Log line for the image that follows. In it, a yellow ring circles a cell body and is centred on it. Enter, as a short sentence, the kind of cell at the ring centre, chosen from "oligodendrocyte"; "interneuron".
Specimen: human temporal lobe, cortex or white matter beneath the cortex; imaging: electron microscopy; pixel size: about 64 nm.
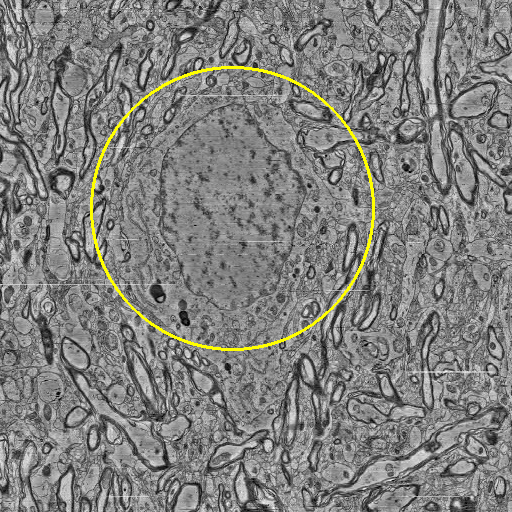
The ring centre is occupied by an interneuron.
